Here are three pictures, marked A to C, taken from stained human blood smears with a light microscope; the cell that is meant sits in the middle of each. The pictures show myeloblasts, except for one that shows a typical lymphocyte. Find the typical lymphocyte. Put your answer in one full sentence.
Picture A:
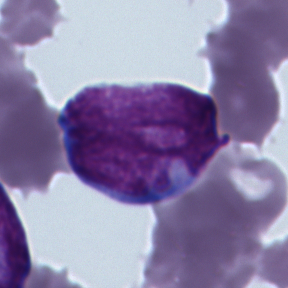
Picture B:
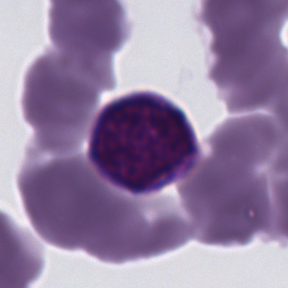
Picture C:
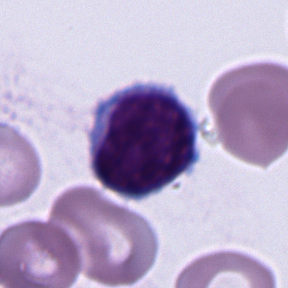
It is picture C that shows the typical lymphocyte.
